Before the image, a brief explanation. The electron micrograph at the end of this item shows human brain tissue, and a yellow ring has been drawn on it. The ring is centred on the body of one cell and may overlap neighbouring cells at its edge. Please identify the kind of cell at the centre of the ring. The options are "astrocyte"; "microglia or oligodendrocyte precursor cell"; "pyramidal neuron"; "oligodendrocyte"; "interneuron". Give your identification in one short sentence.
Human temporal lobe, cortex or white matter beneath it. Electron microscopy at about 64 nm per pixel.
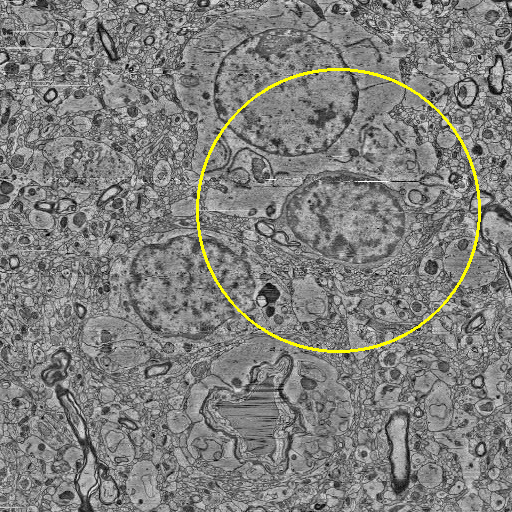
The ring has been placed around an oligodendrocyte.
